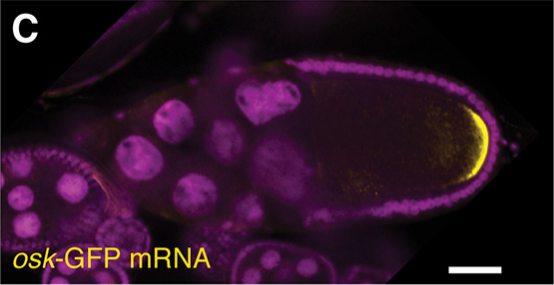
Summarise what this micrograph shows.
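This is a stage 10 egg chamber. Large nurse cells with big, irregular magenta nuclei crowd the left half. The oocyte fills the right half, and a layer of tall follicle cells with evenly spaced nuclei covers it. A bright yellow crescent hugs the posterior pole of the oocyte, at the end farthest from the nurse cells.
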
